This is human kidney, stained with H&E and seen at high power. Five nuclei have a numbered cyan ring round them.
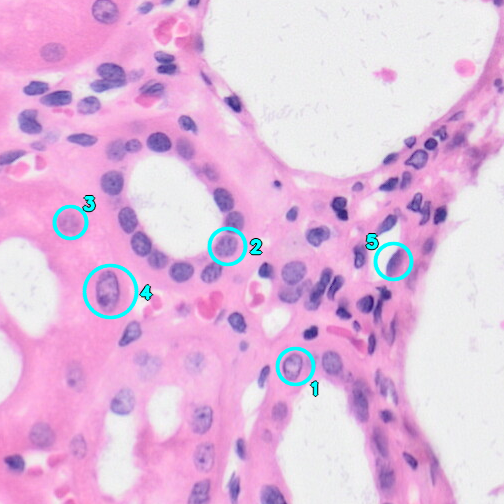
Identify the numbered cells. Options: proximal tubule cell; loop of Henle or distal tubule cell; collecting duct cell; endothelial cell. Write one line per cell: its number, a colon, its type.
1: collecting duct cell
2: collecting duct cell
3: proximal tubule cell
4: proximal tubule cell
5: endothelial cell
